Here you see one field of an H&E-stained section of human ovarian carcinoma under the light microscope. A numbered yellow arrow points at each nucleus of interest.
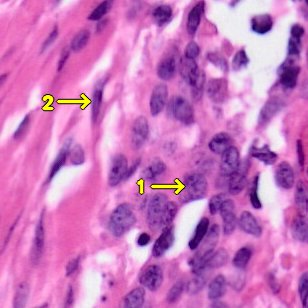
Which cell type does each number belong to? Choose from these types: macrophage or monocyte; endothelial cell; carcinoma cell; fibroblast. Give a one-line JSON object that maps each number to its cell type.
{"1": "carcinoma cell", "2": "fibroblast"}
